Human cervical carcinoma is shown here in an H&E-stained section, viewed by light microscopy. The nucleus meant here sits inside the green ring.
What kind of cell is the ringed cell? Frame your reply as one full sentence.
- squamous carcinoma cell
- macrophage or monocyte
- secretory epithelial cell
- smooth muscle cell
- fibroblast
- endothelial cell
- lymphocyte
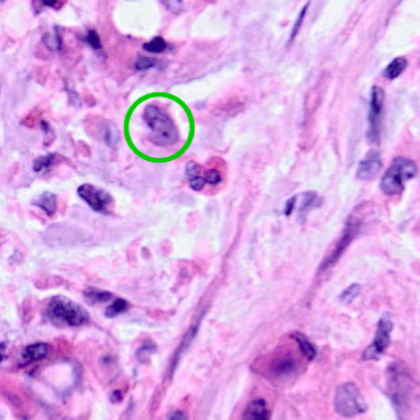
In cell-type terms, the ringed cell is a macrophage or monocyte.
